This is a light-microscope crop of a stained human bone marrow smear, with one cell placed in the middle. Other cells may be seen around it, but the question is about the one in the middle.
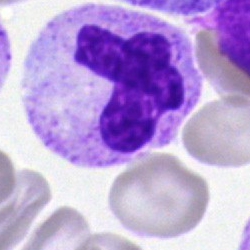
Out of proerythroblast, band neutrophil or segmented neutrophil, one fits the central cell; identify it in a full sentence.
What sits at the centre of this crop is a segmented neutrophil.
